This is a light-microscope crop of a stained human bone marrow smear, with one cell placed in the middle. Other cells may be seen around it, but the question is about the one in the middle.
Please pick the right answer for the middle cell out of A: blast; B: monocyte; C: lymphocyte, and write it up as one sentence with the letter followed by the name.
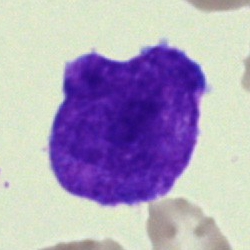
Given that the cell in the middle is a blast, option A is correct.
